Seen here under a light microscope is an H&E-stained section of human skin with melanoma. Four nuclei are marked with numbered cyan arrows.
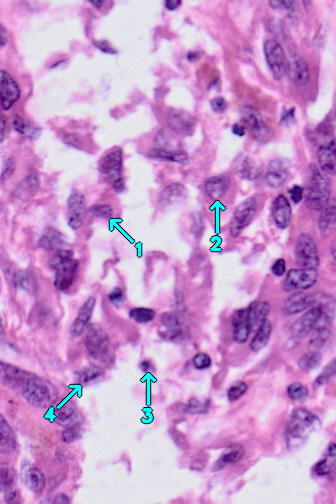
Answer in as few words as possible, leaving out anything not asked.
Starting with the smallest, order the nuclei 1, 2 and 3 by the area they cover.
3, 1, 2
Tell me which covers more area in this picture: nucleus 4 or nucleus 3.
4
